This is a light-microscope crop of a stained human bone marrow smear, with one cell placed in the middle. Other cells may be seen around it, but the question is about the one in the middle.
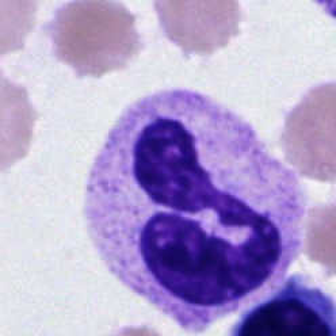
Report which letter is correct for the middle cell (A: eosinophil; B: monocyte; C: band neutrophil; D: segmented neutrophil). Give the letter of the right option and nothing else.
D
